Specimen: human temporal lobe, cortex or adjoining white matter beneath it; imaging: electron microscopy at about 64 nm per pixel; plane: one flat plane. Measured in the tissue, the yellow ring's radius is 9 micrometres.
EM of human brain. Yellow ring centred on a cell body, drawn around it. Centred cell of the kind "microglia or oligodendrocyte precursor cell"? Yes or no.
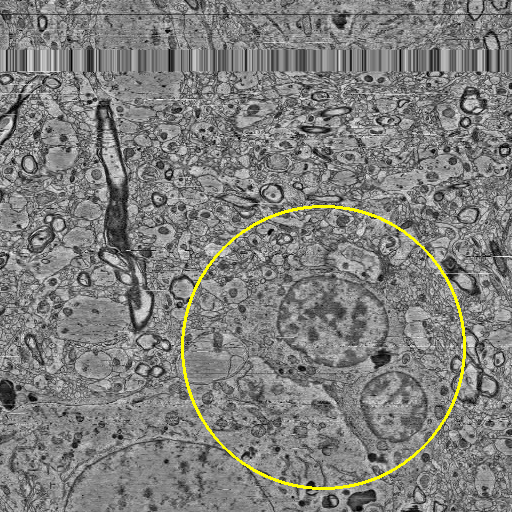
no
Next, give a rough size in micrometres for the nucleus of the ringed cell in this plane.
The nucleus has a long axis of about 7 micrometres and a short axis of about 6 micrometres in this plane.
